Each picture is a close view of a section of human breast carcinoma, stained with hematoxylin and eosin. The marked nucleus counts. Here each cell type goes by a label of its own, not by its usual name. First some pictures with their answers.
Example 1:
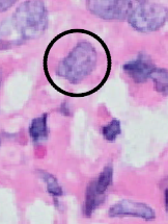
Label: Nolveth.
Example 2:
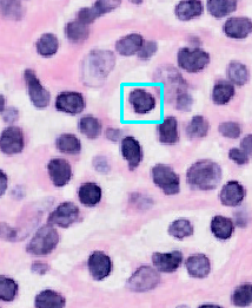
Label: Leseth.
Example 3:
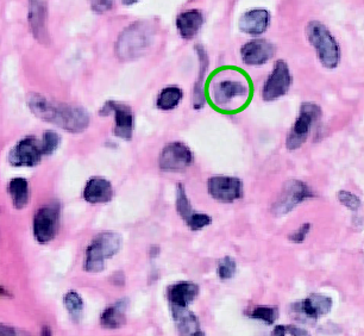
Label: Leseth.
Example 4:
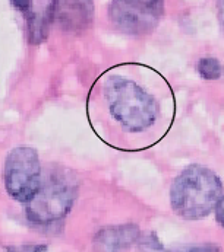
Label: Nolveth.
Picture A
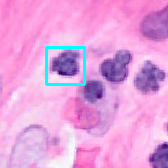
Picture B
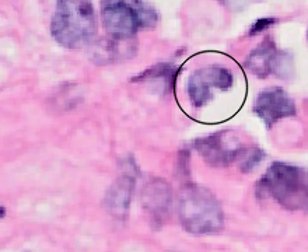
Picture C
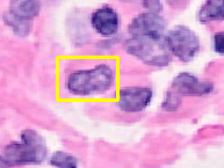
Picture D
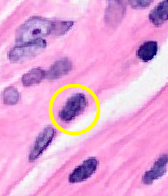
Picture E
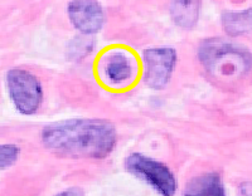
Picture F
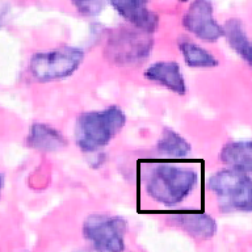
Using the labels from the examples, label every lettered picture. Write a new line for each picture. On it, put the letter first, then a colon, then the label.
A: Leseth.
B: Nolveth.
C: Nolveth.
D: Leseth.
E: Leseth.
F: Nolveth.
